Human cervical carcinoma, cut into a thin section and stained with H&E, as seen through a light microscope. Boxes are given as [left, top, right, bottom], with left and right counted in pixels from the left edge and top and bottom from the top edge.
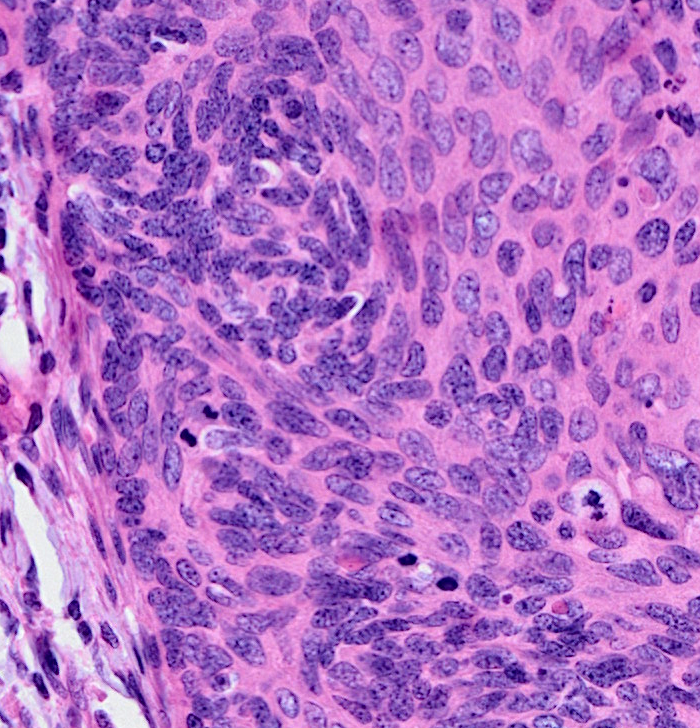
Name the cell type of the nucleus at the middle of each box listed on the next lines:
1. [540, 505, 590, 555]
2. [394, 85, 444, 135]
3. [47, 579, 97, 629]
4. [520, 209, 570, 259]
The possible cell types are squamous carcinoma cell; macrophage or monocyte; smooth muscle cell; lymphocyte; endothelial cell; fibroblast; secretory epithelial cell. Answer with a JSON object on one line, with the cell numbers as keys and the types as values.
{"1": "squamous carcinoma cell", "2": "squamous carcinoma cell", "3": "lymphocyte", "4": "squamous carcinoma cell"}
